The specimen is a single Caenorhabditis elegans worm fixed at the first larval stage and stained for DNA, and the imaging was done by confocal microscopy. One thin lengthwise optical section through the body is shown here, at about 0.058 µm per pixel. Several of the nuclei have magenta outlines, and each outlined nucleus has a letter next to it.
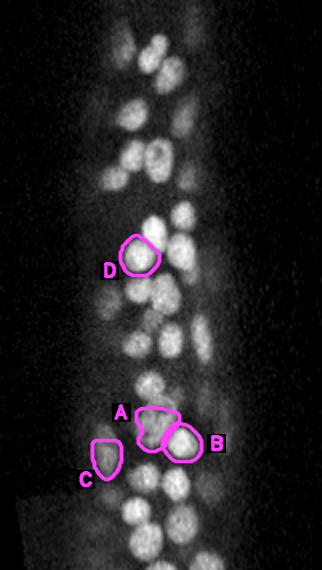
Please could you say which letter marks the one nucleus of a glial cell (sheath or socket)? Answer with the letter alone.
D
